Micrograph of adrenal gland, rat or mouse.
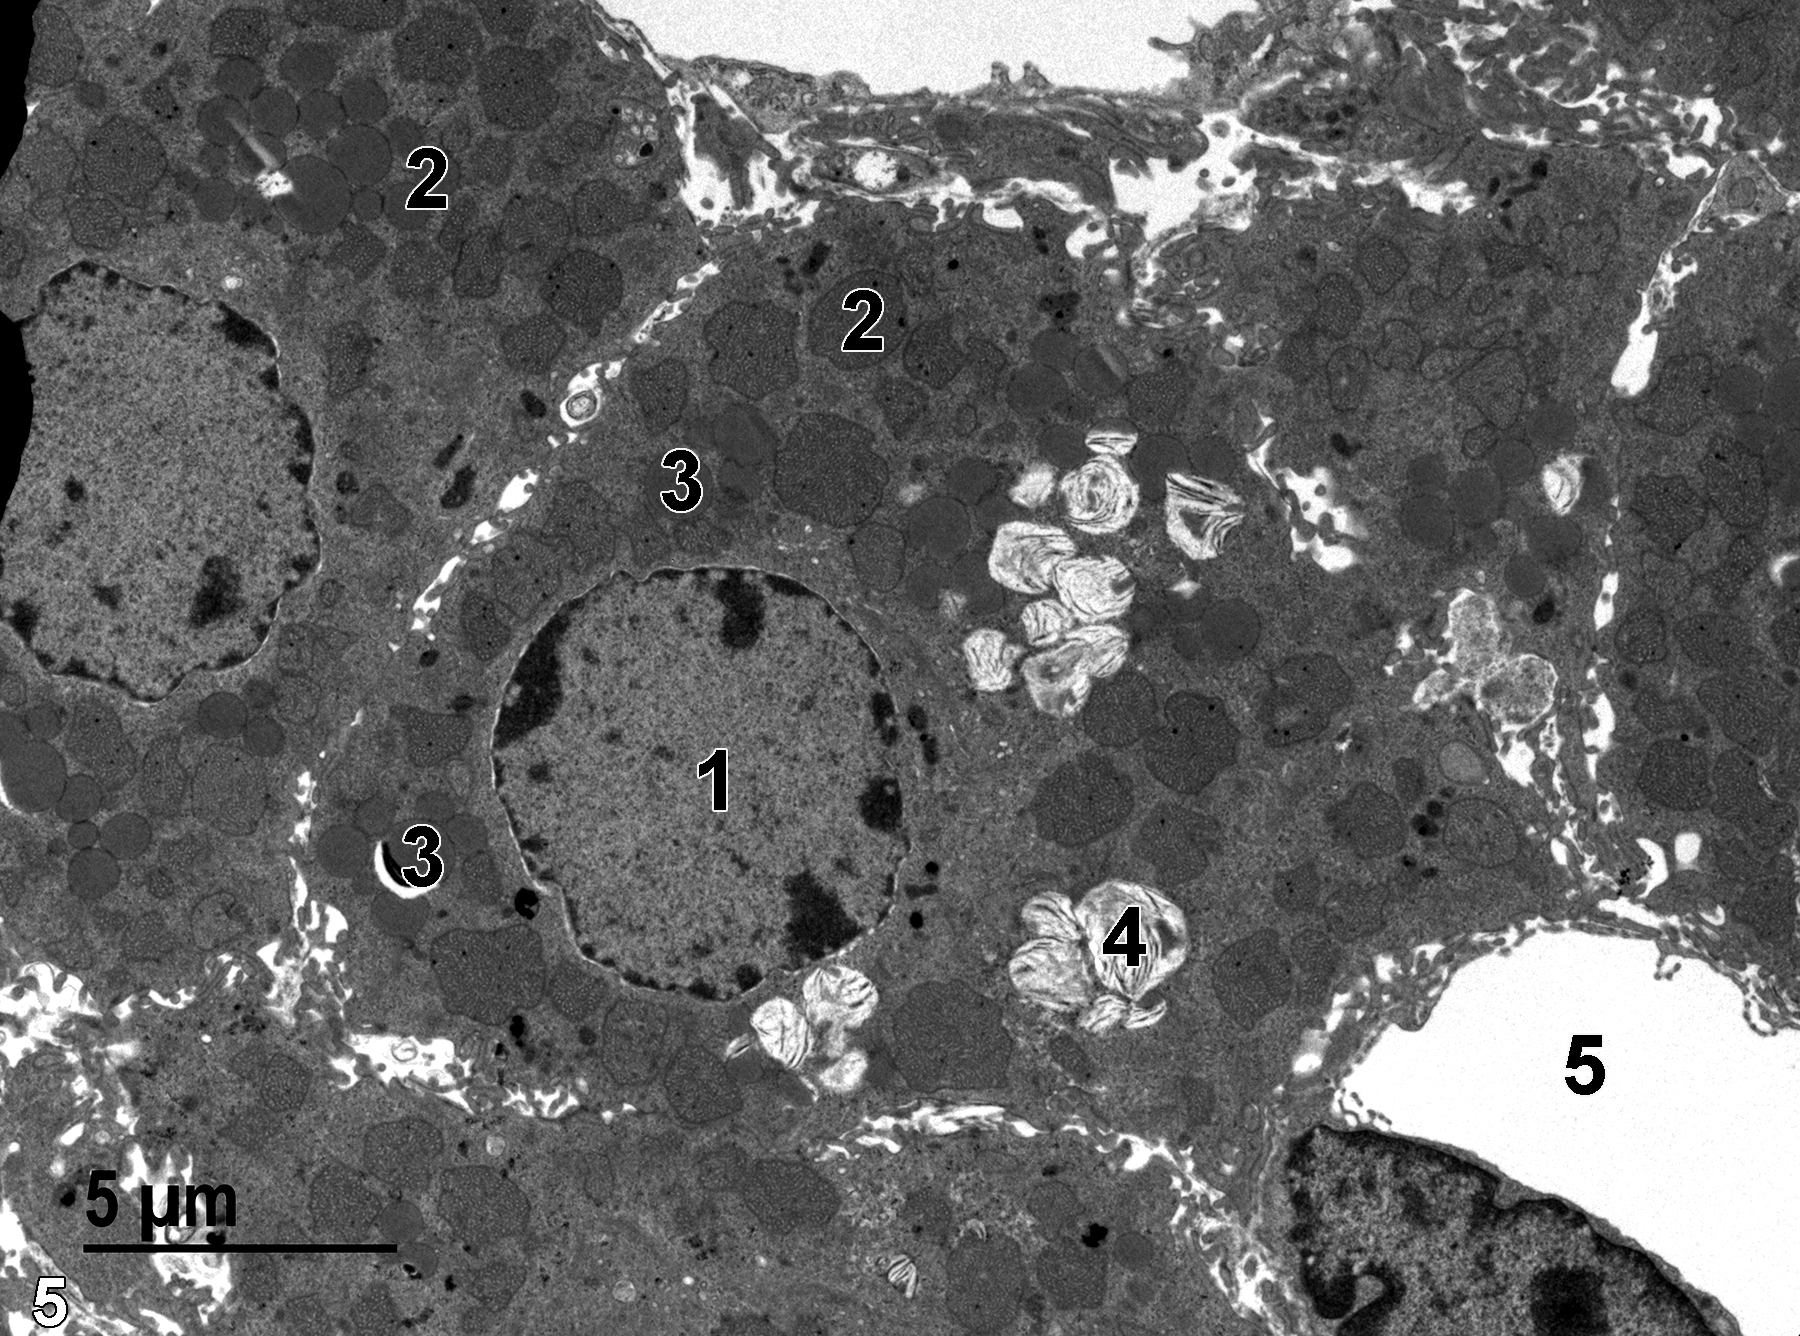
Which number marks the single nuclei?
1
